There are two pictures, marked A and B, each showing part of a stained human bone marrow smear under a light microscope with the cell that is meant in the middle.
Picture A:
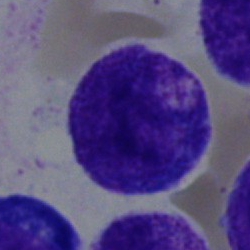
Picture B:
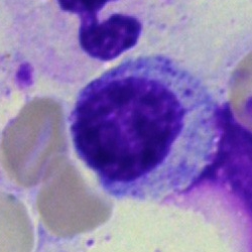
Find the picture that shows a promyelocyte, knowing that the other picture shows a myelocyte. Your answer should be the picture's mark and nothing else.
A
